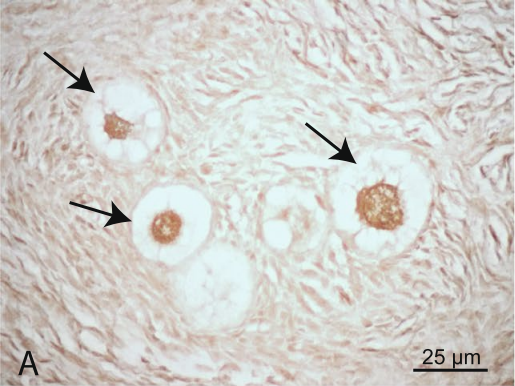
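The stroma is made of wavy, spindle-shaped cells with elongated nuclei, only faintly coloured. Around each oocyte lies a single thin layer of flattened cells, giving the follicle a neat rim. The follicles sit close together in a small cluster.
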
